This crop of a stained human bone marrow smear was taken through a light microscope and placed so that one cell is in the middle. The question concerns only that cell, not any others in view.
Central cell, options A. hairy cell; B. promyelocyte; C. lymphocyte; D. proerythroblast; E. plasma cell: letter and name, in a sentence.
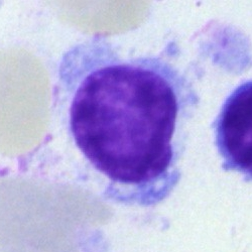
Seen at the centre of the crop is a hairy cell, so option A is correct.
